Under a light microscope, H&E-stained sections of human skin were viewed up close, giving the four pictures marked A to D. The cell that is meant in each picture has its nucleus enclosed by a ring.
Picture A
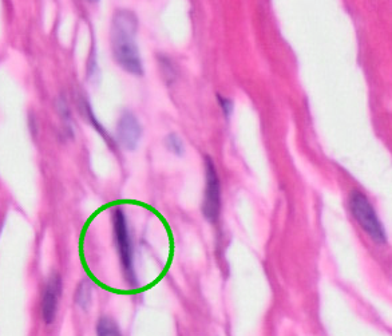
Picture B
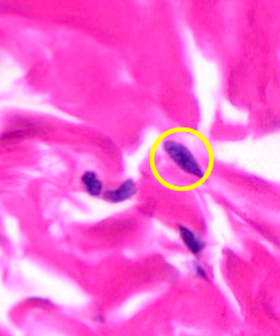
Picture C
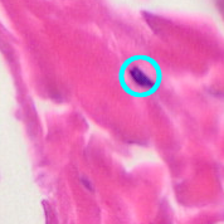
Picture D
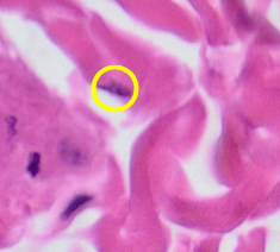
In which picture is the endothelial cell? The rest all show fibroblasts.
A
